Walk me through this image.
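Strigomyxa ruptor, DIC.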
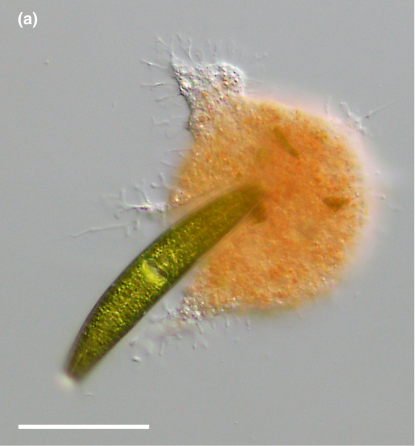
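This is an amoeboid trophozoite in the act of engulfing an elongate green alga. The predator is a broad, rounded mass of finely granular orange-tinted cytoplasm into which one end of the crescent-shaped green cell projects. Fine, thread-like branching filopodia radiate from the margin of the amoeba, especially from a tuft at the upper side. The alga itself is slender, curved and pointed, filled with green chloroplast, and its free end sticks out far beyond the body of the amoeba.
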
